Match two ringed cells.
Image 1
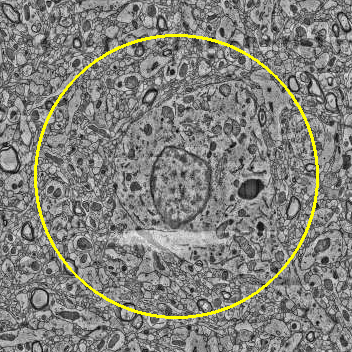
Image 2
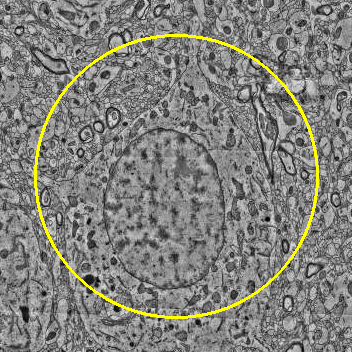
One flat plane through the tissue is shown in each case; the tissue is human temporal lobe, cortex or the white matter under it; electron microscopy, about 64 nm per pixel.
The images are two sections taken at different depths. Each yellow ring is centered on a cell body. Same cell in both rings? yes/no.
no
